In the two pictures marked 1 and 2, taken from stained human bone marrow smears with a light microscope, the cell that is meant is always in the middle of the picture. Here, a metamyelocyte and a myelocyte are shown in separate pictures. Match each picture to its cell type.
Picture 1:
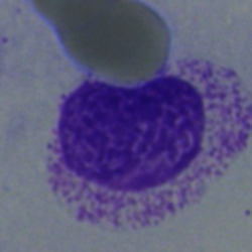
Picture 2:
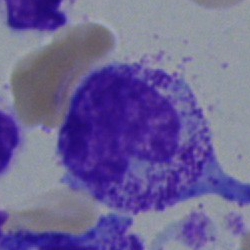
1: myelocyte
2: metamyelocyte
